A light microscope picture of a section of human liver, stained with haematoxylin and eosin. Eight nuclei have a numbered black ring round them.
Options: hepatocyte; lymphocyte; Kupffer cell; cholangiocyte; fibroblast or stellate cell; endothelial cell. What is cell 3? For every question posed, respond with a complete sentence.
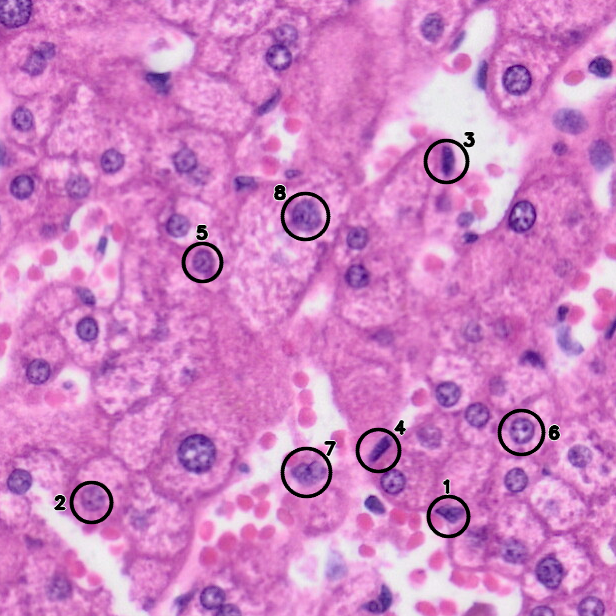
The numbered cell 3 is identified here as a fibroblast or stellate cell.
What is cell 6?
In the tissue shown, cell 6 is a hepatocyte.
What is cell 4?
Recognised here as a fibroblast or stellate cell is the cell numbered 4.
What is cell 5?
Classified as a hepatocyte is the cell with the number 5.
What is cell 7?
Among the marked nuclei, number 7 belongs to a Kupffer cell.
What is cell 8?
Cell 8 in the field is a hepatocyte.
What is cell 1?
In this section, the cell tagged 1 is an endothelial cell.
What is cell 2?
The numbered cell 2 is identified here as a hepatocyte.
